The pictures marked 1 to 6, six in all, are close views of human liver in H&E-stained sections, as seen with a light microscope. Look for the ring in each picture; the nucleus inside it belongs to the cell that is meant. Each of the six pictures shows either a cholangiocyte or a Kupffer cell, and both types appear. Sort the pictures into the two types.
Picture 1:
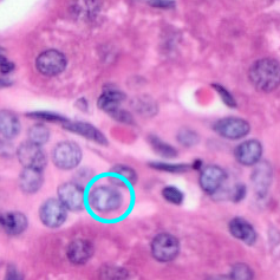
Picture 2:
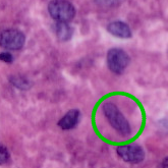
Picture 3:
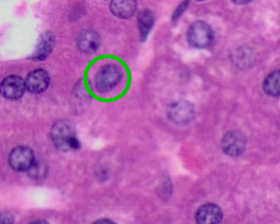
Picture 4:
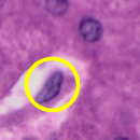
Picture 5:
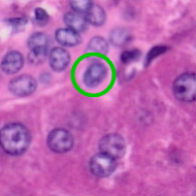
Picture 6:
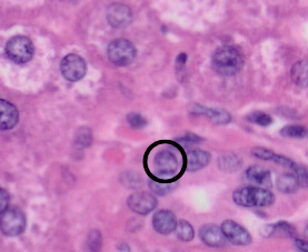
1: cholangiocyte
2: Kupffer cell
3: cholangiocyte
4: Kupffer cell
5: cholangiocyte
6: cholangiocyte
